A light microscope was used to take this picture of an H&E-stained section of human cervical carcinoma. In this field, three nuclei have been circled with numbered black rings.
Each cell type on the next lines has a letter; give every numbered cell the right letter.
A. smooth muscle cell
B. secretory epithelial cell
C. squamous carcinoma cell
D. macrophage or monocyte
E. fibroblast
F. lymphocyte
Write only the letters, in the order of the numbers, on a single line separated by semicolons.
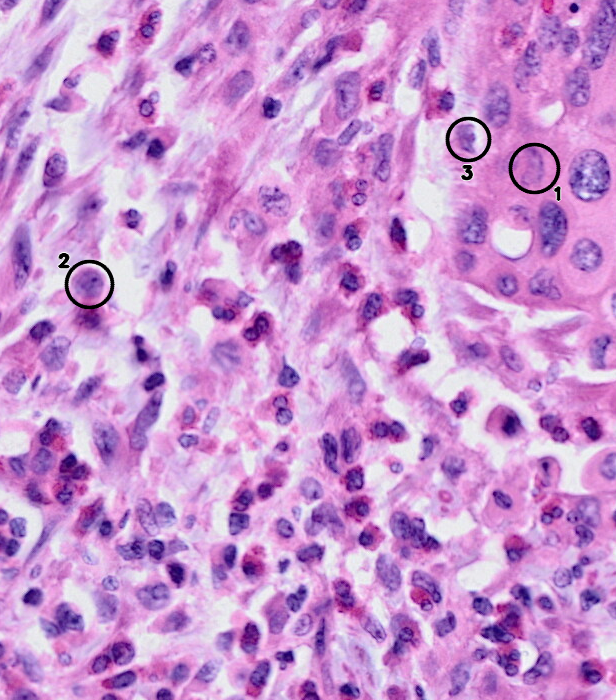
C; D; D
